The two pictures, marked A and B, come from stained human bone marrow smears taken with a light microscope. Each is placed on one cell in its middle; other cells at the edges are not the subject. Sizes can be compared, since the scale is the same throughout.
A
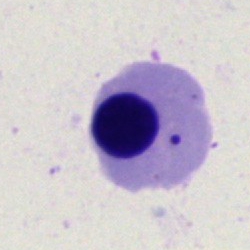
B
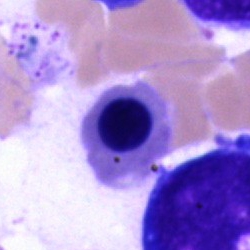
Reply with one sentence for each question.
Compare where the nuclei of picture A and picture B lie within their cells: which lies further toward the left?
In picture A the nucleus is shifted more toward the left.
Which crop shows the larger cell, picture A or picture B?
The cell in picture A is larger, with about 2 times the area of the one in picture B.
